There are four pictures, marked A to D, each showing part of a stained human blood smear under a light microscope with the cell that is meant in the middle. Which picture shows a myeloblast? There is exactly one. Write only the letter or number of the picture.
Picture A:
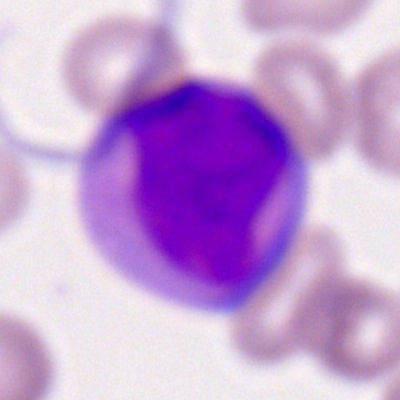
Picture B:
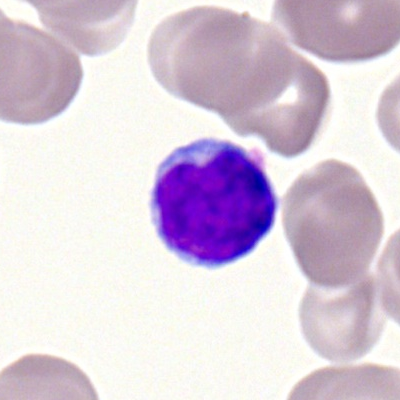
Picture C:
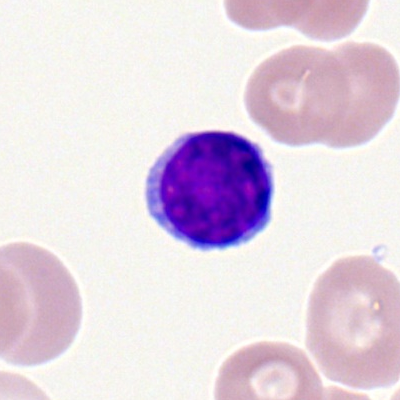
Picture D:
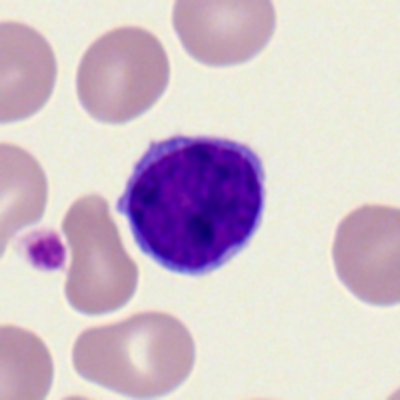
A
